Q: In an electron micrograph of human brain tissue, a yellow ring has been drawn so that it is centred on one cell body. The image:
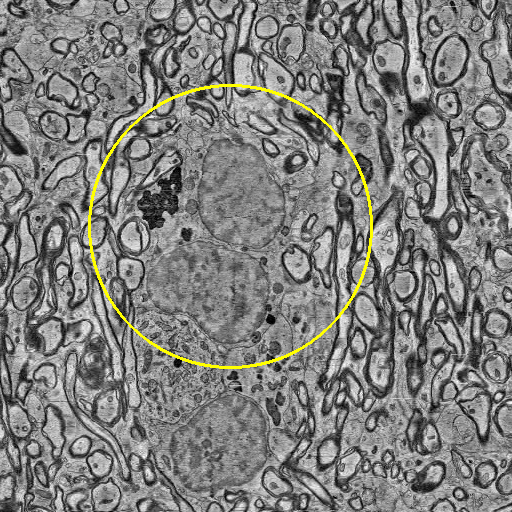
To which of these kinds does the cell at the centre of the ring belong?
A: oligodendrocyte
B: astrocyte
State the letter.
A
